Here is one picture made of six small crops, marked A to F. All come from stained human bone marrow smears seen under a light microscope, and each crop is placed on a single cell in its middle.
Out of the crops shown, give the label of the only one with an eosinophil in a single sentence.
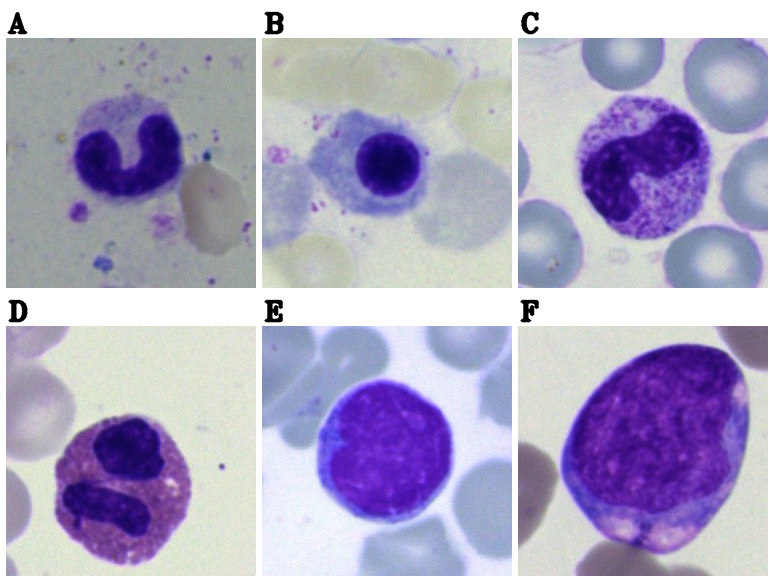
Crop D is the right one; it is the crop showing an eosinophil.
